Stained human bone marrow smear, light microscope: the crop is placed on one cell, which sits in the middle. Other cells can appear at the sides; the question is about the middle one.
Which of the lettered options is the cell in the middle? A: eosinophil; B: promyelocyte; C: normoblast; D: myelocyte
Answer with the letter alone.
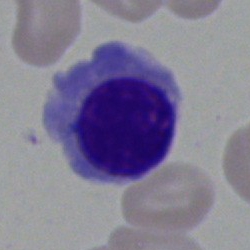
C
